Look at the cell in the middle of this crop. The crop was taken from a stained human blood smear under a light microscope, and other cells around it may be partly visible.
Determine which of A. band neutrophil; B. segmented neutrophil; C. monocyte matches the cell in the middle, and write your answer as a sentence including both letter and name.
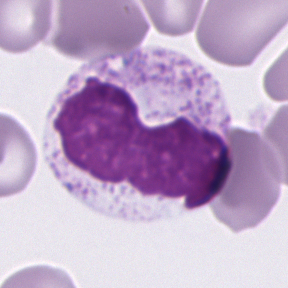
The best answer is option A, since the cell in the middle is a band neutrophil.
